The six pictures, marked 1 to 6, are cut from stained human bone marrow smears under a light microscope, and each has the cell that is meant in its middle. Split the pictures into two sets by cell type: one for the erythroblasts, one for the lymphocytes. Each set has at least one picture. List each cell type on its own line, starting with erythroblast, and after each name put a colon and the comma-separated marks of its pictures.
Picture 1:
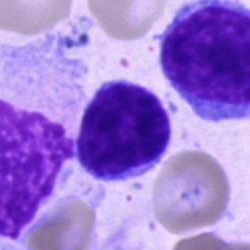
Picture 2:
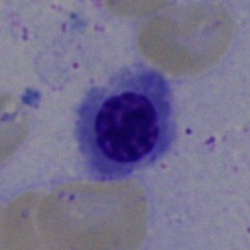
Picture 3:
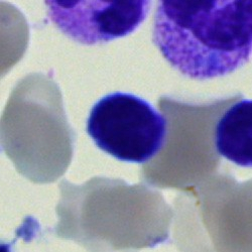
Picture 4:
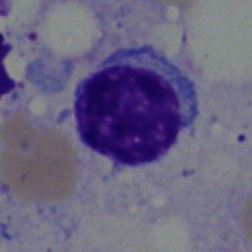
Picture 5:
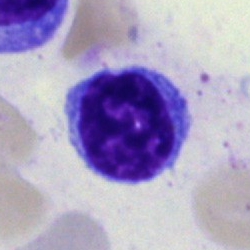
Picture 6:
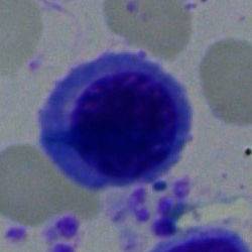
erythroblast: 2, 6
lymphocyte: 1, 3, 4, 5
